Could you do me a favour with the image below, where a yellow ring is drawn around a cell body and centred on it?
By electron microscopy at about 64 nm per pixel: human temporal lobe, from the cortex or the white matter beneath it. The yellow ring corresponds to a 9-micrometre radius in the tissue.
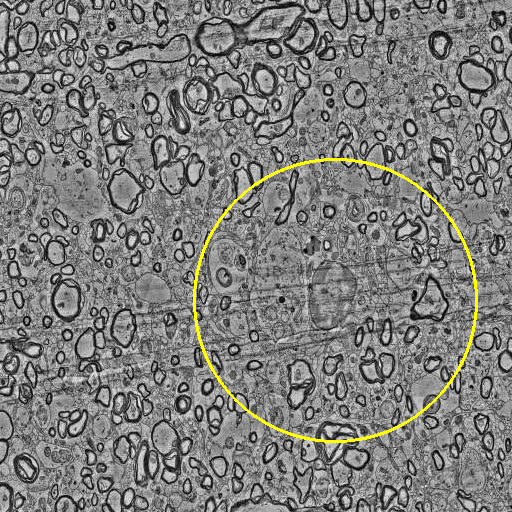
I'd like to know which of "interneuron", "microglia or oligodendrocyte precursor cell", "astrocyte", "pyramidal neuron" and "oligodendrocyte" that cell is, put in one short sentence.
The cell at the ring's centre is a microglial cell or oligodendrocyte precursor cell.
